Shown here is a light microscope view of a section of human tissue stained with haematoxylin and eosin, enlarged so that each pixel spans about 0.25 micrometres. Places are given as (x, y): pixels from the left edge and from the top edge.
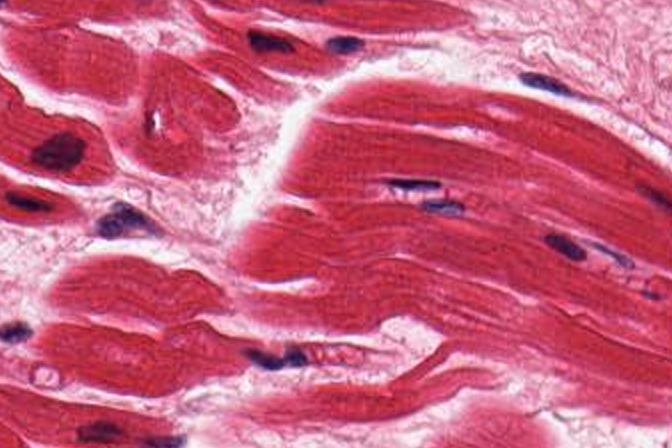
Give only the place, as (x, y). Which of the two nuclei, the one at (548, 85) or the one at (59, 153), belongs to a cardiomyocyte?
(59, 153)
